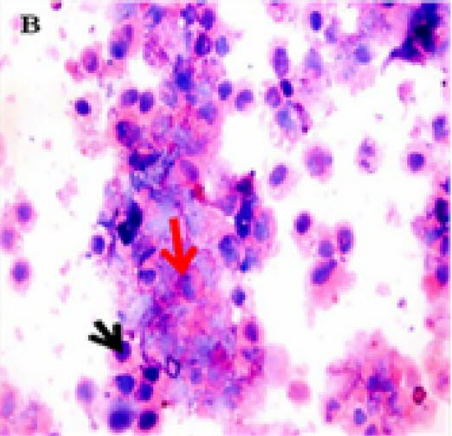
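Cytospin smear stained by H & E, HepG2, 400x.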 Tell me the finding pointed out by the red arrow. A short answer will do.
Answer: Apoptotic and degenerative changes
